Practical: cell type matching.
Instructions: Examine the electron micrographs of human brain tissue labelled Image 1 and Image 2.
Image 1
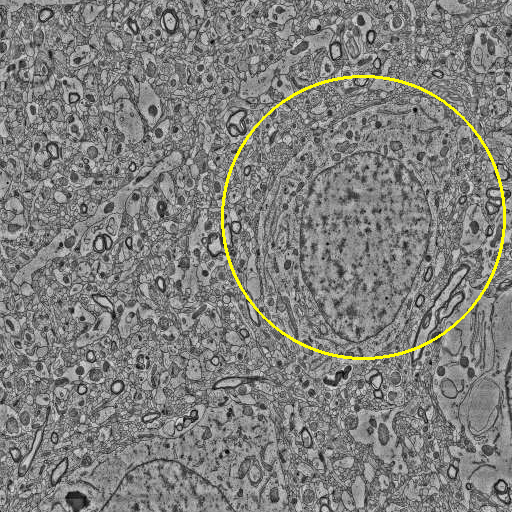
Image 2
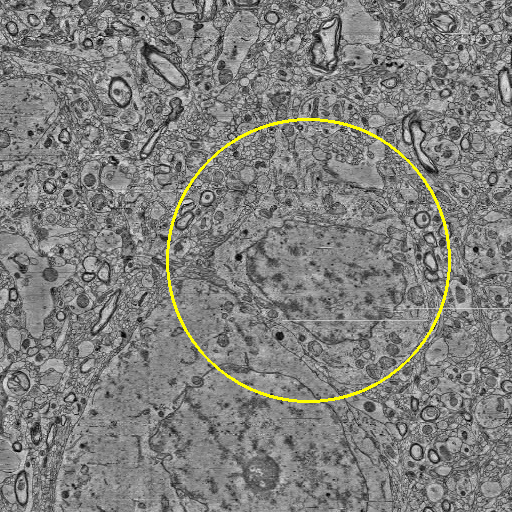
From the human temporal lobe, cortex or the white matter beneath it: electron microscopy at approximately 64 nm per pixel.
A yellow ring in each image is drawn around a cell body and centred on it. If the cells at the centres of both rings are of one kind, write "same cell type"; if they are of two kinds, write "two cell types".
same cell type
